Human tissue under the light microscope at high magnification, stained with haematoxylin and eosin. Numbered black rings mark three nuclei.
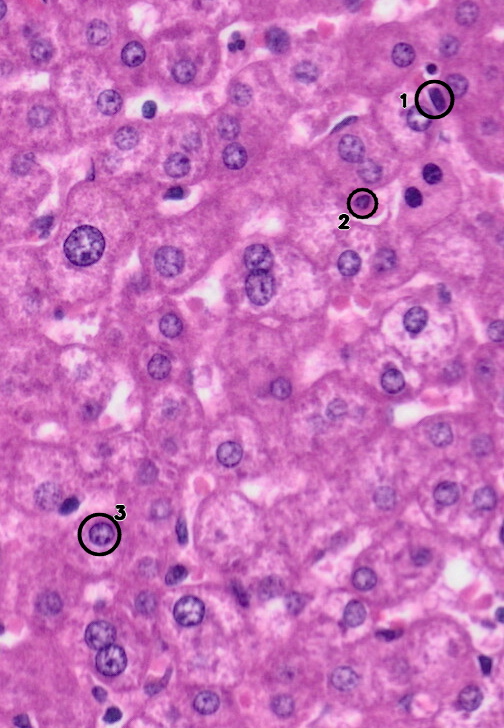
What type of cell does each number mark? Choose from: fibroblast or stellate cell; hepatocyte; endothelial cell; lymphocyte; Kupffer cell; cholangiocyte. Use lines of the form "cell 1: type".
cell 1: fibroblast or stellate cell
cell 2: Kupffer cell
cell 3: hepatocyte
